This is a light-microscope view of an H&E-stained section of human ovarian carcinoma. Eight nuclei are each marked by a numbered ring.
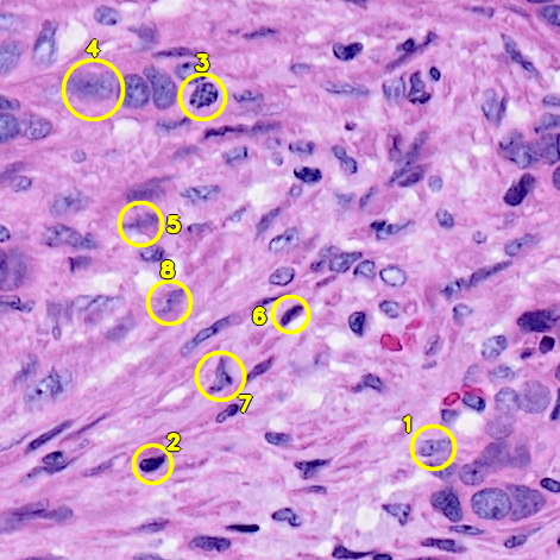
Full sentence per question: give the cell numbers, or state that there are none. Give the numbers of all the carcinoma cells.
Of the cells bearing numbers, the only one that is a carcinoma cell is cell 4.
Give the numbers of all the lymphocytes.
Cells 2 and 3 in the section are typed as lymphocytes.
